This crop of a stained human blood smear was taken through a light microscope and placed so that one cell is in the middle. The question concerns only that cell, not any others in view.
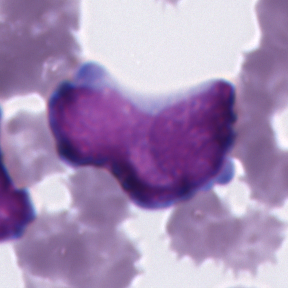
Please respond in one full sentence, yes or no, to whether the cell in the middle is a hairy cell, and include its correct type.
No, instead of a hairy cell, the centred cell represents a myeloblast.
